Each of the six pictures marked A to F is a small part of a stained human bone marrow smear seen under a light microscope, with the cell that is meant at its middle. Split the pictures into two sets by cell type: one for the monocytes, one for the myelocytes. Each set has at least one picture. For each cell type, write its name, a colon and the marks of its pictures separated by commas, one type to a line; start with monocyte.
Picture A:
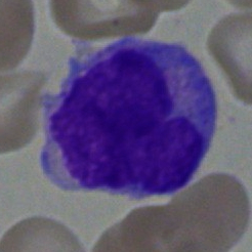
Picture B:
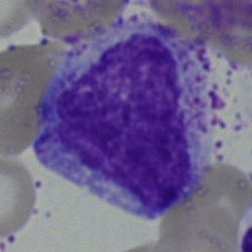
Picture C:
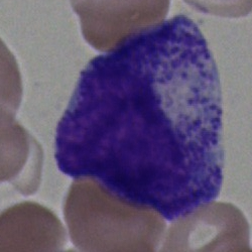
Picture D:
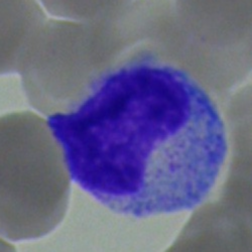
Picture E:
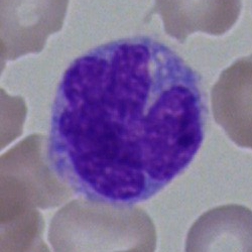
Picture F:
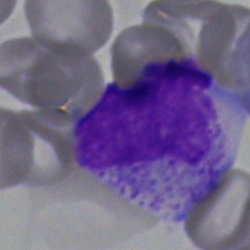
monocyte: A, E
myelocyte: B, C, D, F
